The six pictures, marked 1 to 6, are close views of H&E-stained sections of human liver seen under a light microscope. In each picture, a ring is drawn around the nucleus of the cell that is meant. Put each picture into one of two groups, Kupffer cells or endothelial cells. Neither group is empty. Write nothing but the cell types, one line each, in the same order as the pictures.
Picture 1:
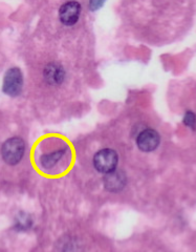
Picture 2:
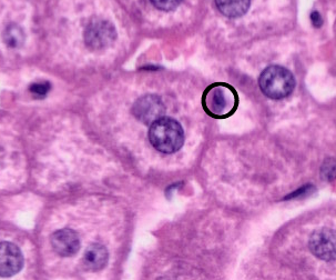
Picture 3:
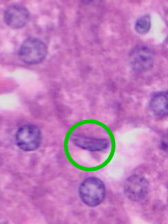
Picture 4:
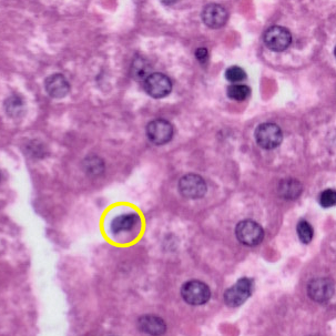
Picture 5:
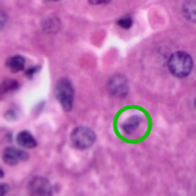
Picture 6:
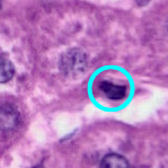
endothelial cell
Kupffer cell
Kupffer cell
endothelial cell
endothelial cell
Kupffer cell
